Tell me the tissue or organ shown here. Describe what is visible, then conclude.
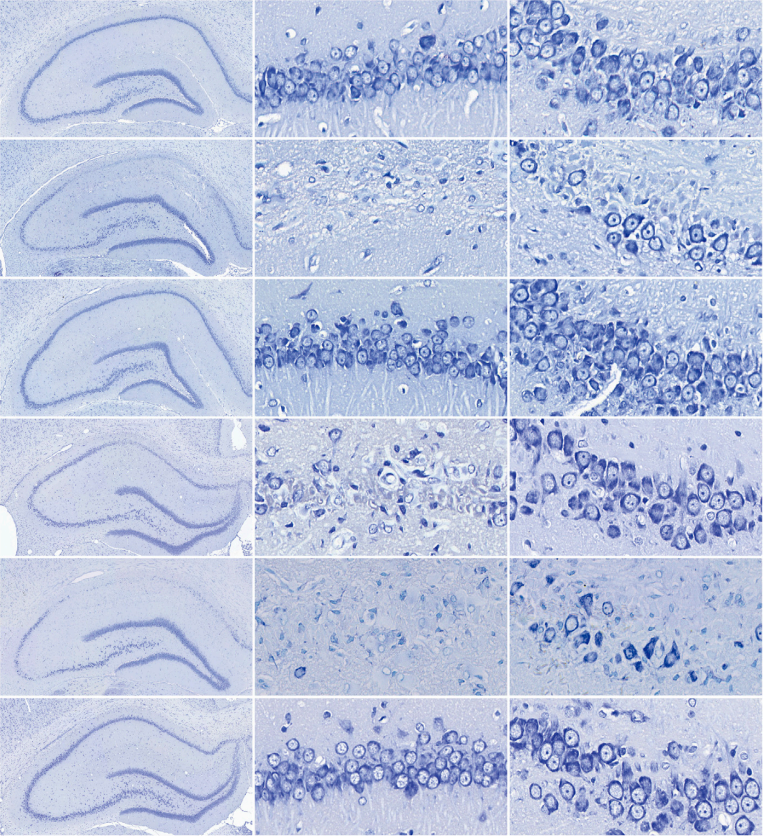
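Hippocampus. Low-power sections in the left column show a curved band of densely stained cells. A second, V-shaped densely stained cell layer lies inside the curve of the first.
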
